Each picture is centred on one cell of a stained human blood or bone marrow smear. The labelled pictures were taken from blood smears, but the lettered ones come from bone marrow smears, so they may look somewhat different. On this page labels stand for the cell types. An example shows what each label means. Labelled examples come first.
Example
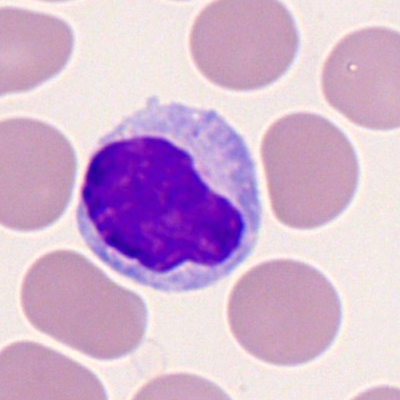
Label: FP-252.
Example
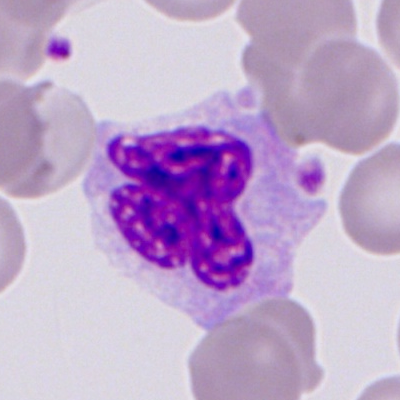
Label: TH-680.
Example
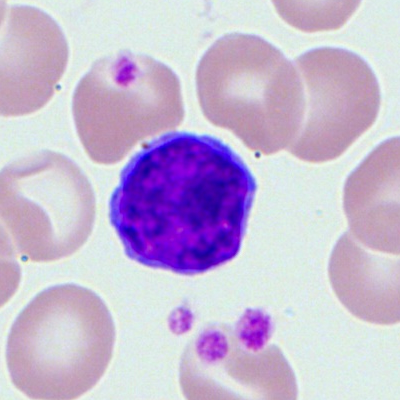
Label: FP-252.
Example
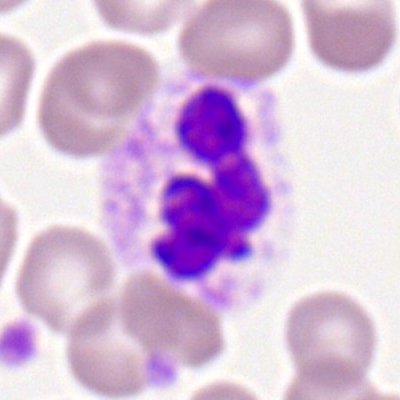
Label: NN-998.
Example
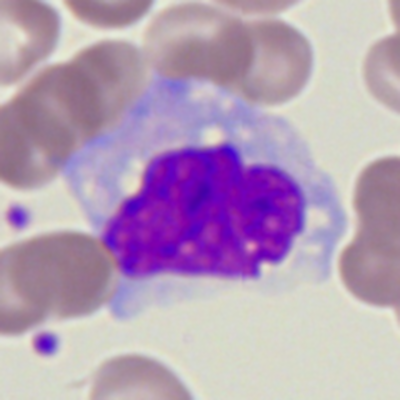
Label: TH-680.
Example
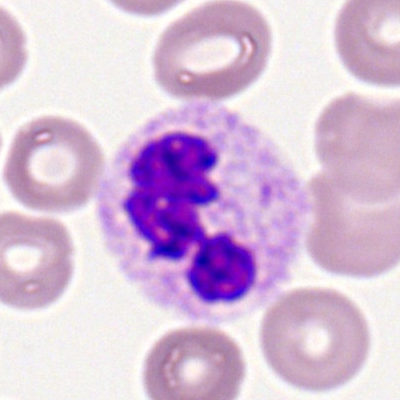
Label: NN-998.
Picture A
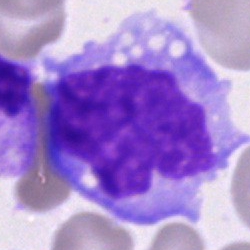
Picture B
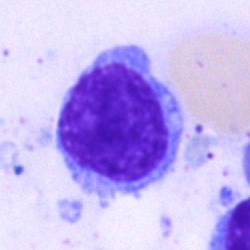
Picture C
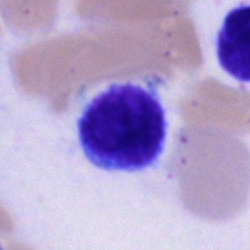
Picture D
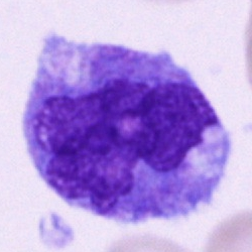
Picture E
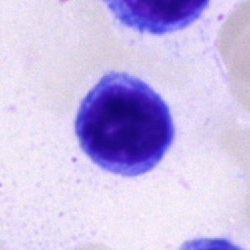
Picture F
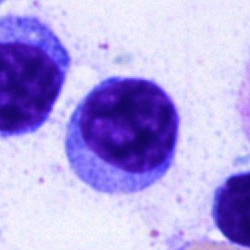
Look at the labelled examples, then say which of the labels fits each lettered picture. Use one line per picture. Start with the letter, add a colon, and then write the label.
A: TH-680.
B: FP-252.
C: FP-252.
D: TH-680.
E: FP-252.
F: FP-252.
